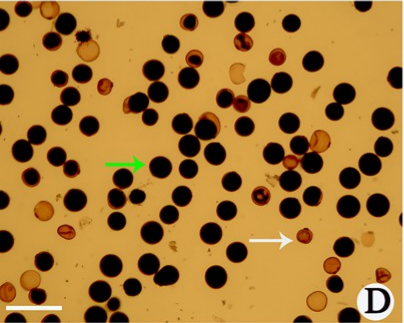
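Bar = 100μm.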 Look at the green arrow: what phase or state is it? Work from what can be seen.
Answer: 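Fertile pollens. The marked grain is round and evenly black.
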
